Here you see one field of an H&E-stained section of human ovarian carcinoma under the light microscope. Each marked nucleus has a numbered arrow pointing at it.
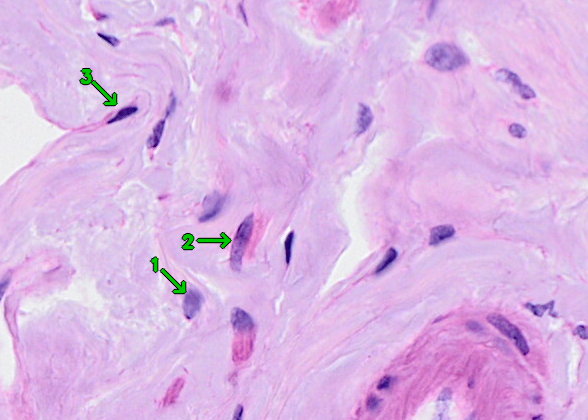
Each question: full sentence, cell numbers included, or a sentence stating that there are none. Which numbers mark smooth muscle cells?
Only at number 2 is there a smooth muscle cell among the marked cells.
